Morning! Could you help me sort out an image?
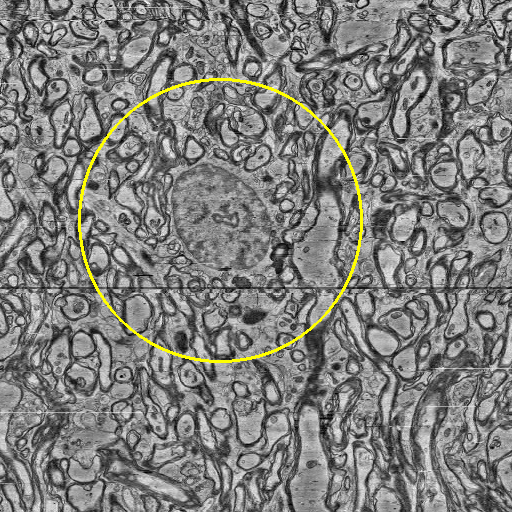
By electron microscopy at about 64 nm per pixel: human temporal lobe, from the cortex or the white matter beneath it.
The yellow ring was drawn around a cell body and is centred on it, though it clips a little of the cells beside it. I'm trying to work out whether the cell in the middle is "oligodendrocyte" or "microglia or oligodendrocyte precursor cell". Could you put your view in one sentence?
The ringed cell body is that of an oligodendrocyte.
